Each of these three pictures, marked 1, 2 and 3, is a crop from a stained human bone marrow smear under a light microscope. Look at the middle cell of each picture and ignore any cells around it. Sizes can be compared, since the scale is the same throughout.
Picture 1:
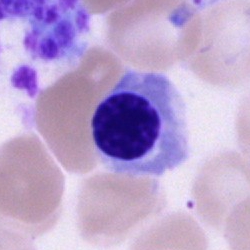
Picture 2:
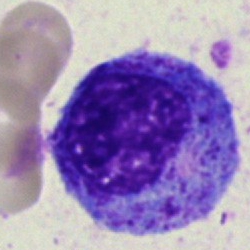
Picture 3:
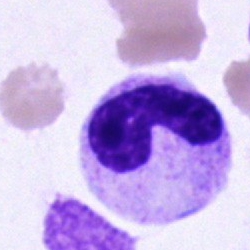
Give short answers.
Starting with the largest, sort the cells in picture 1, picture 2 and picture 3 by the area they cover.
2, 3, 1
